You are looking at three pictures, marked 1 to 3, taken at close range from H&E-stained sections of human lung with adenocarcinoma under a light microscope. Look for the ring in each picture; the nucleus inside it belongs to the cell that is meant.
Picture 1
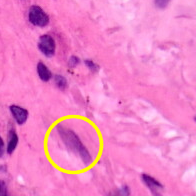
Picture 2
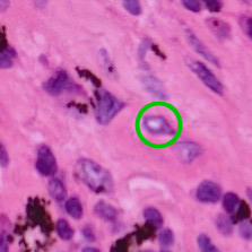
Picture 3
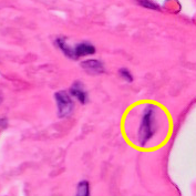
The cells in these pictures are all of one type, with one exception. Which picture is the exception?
2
